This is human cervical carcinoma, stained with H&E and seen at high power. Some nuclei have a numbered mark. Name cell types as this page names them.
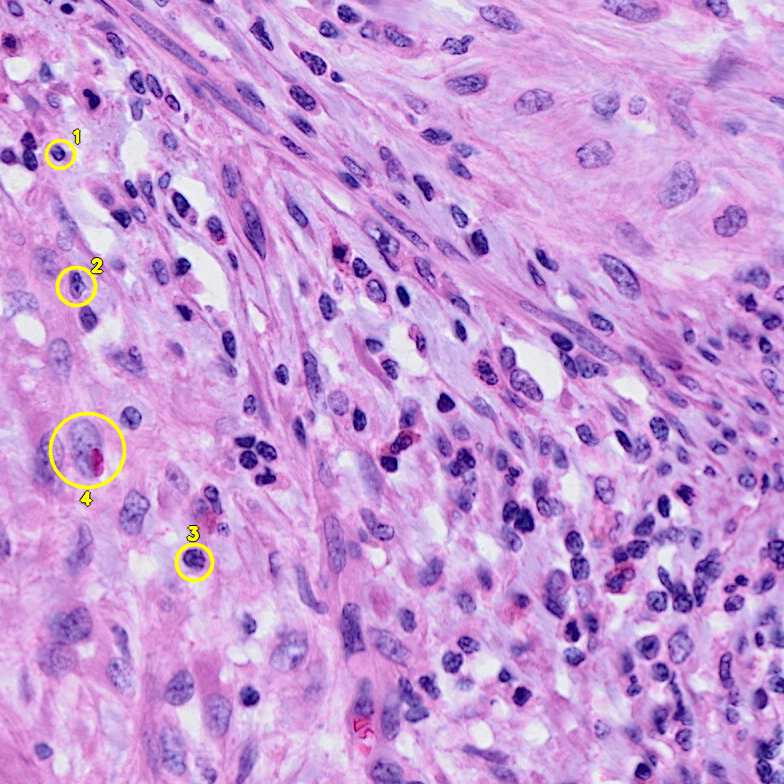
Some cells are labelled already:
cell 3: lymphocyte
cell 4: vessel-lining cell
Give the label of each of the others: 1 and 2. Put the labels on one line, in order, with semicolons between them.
lymphocyte; lymphocyte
